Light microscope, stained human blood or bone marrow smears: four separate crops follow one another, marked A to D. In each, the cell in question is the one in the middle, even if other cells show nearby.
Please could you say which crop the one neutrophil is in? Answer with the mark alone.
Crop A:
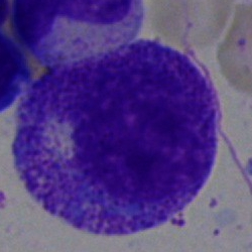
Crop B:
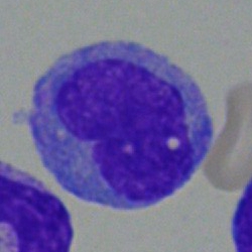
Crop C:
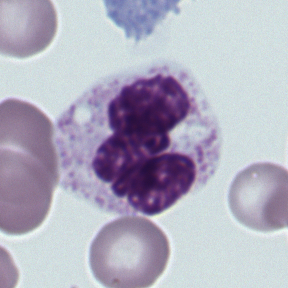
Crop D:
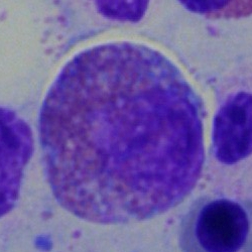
C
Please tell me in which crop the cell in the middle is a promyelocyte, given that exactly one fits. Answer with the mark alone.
A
